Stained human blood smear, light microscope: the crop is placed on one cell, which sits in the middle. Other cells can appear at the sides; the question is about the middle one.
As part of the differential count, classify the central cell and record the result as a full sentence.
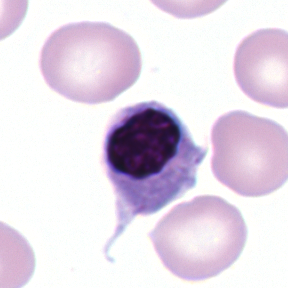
Present in the middle of the crop is a normoblast.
